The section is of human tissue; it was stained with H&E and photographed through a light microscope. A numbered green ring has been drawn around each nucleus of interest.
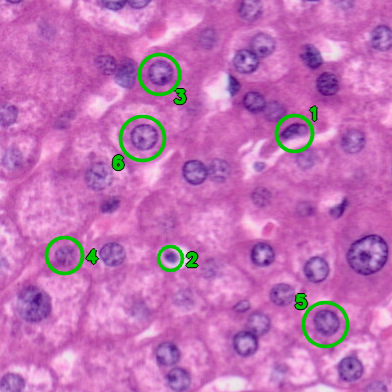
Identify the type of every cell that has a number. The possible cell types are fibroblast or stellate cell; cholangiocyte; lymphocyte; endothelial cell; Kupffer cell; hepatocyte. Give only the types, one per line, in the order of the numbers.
Kupffer cell
lymphocyte
hepatocyte
hepatocyte
hepatocyte
hepatocyte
